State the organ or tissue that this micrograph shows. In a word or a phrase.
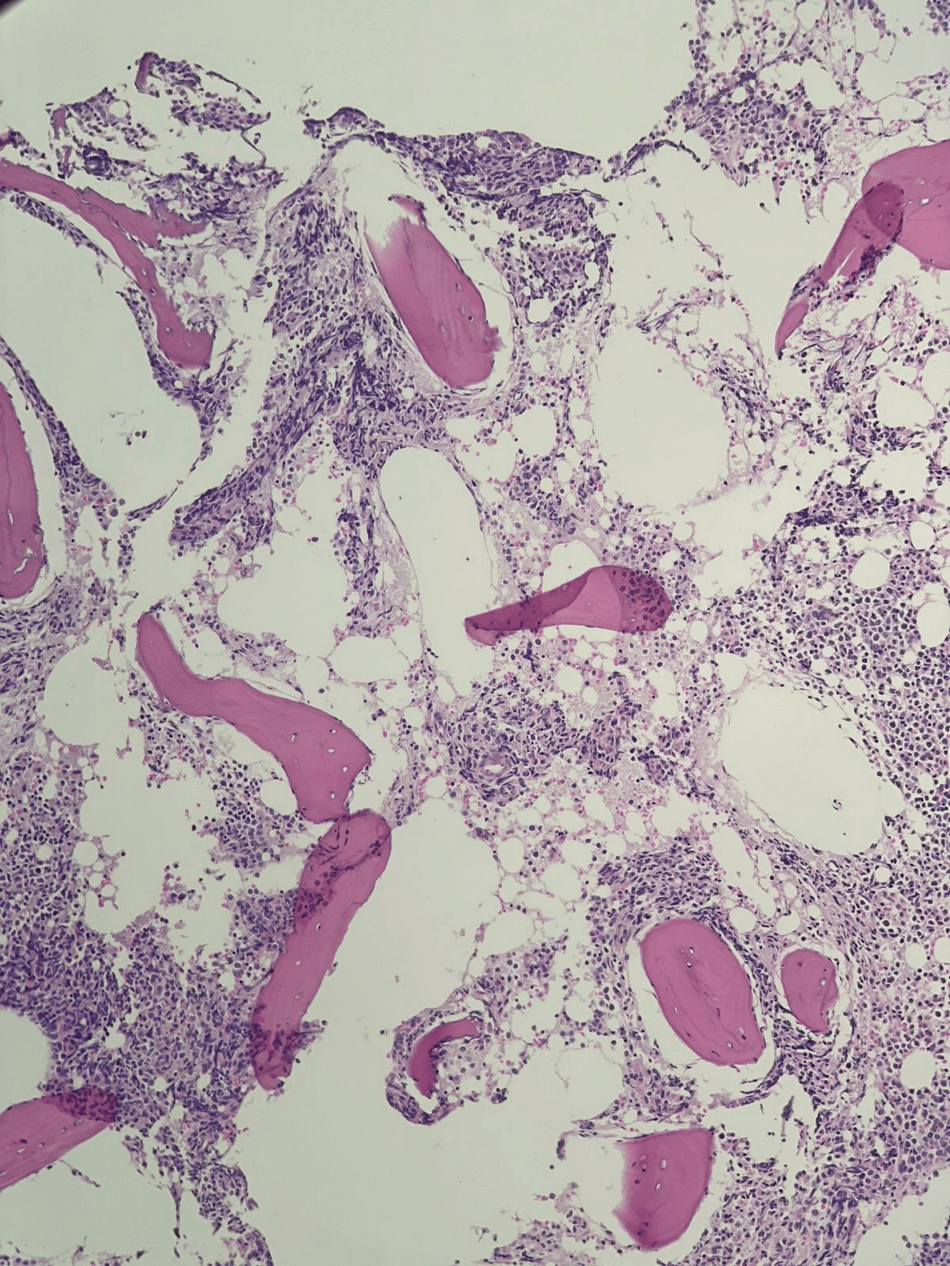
Marrow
